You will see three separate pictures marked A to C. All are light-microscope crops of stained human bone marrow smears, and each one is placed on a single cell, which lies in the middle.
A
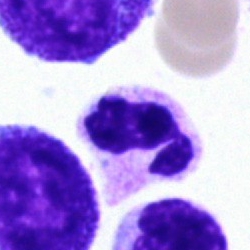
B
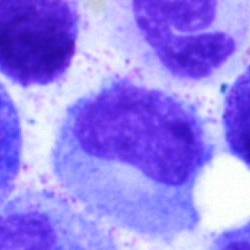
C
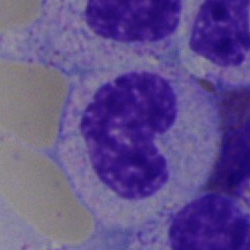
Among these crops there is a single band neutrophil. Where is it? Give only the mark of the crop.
C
